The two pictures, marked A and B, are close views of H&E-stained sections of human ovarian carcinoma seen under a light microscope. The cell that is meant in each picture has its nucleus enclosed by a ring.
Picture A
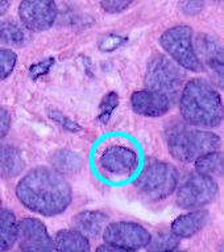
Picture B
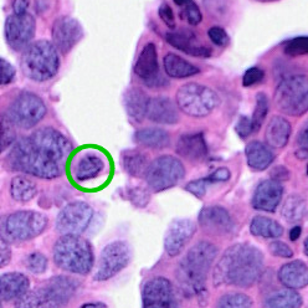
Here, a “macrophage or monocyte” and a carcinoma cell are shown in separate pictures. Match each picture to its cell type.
A: carcinoma cell
B: macrophage or monocyte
